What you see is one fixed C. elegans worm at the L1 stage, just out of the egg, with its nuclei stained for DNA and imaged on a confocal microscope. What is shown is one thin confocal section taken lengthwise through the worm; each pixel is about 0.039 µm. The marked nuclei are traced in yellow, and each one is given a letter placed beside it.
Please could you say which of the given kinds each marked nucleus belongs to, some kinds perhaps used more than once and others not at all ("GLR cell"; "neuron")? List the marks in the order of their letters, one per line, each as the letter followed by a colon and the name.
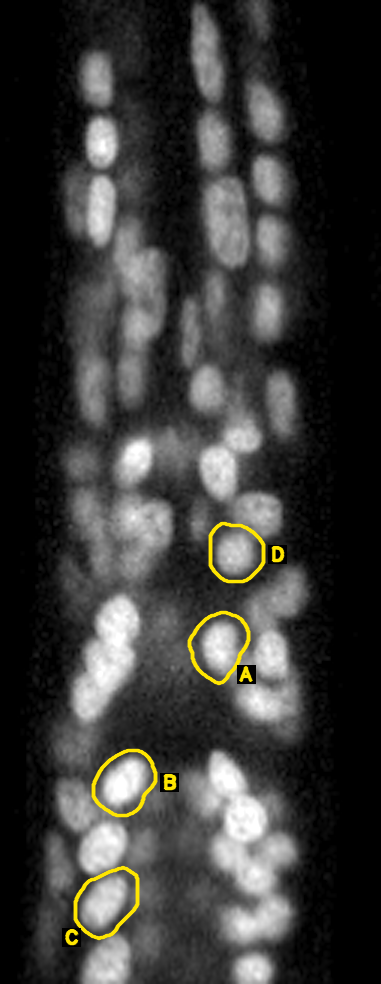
A: neuron
B: GLR cell
C: neuron
D: neuron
